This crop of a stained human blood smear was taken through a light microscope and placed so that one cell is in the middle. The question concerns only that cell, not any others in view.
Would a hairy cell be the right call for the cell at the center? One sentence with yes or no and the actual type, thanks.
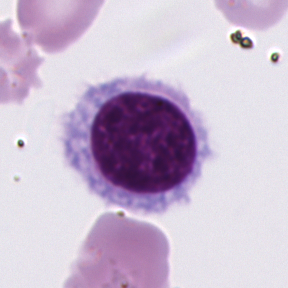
Yes, the crop is centred on a hairy cell.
